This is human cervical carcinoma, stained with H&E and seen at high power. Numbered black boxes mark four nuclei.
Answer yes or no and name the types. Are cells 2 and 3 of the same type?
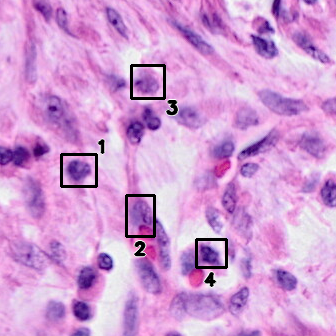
No, cell 2 is an endothelial cell, and as for cell 3, it is a macrophage or monocyte.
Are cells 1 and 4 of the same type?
Yes, both cell 1 and cell 4 are classified as lymphocytes.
